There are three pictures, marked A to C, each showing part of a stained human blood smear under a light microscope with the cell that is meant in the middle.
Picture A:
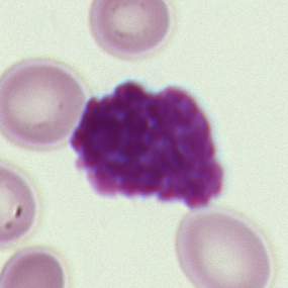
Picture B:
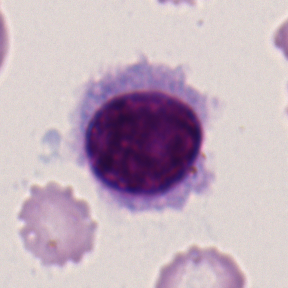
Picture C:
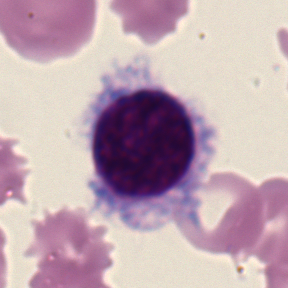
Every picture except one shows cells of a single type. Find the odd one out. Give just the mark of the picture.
A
